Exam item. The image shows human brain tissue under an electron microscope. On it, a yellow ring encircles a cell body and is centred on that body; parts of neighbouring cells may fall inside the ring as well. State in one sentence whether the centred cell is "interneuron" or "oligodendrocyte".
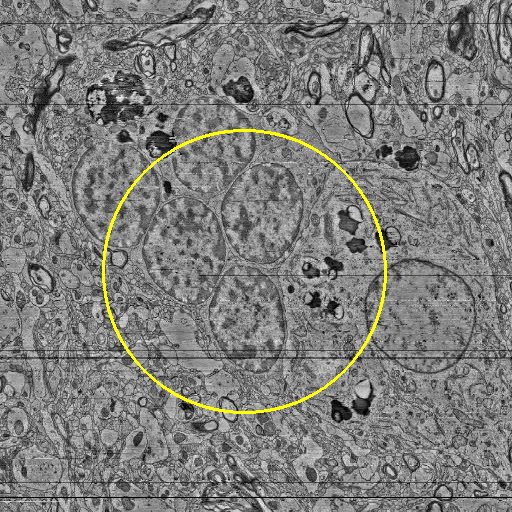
The cell body centred in the ring is an oligodendrocyte.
